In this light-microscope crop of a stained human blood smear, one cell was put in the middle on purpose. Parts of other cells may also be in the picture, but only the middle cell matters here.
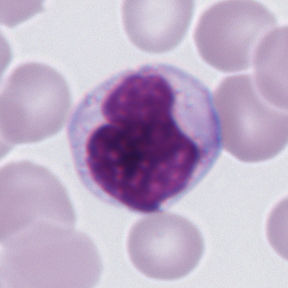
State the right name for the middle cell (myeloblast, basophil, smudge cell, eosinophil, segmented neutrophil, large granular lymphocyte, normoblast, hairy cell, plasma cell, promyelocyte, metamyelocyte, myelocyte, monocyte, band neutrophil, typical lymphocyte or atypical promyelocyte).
large granular lymphocyte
